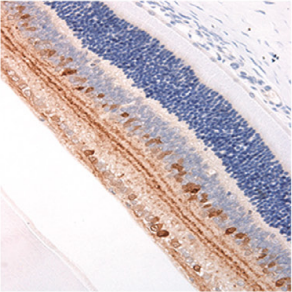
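This is a section of retina, laid out as parallel layers running along its length. One side holds a thick band of small, tightly packed, dark blue nuclei; next to it lies a thinner, paler layer of nuclei among which a number of oval nuclei are stained dark brown. Beyond that run brownish, finely fibrous bands, and loose tissue with scattered nuclei borders the section on the outer side.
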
